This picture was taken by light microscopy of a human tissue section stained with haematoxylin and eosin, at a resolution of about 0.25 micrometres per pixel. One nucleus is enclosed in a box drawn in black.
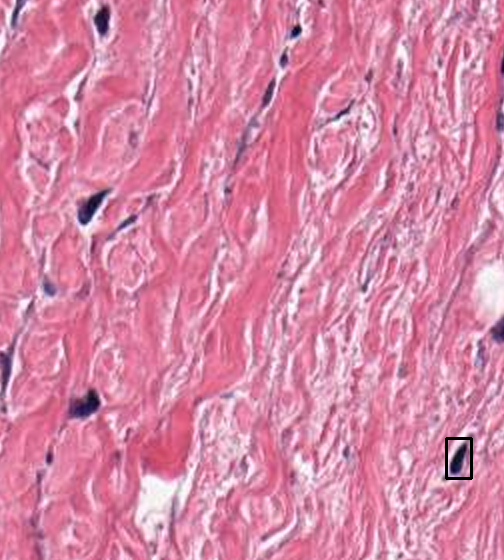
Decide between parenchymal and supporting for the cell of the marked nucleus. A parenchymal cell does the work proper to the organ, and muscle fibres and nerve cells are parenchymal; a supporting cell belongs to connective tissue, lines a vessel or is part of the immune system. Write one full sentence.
The marked nucleus is classified as belonging to a supporting cell.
